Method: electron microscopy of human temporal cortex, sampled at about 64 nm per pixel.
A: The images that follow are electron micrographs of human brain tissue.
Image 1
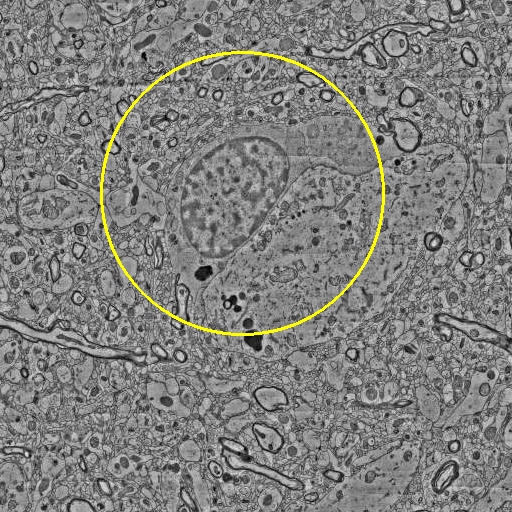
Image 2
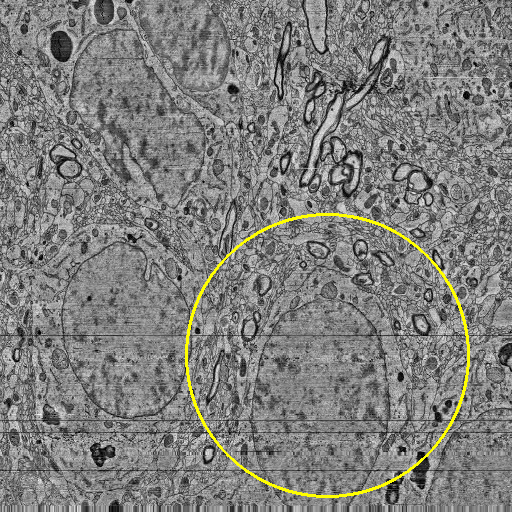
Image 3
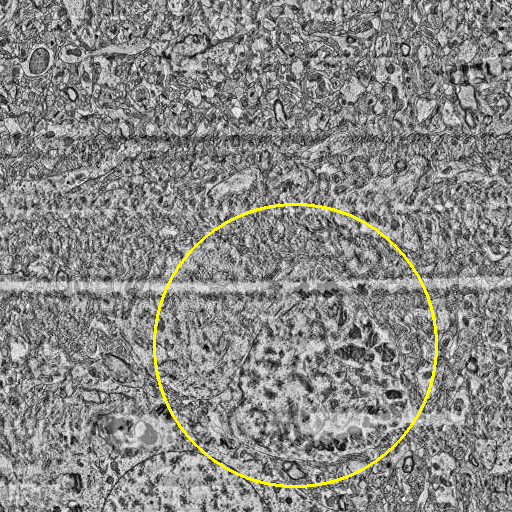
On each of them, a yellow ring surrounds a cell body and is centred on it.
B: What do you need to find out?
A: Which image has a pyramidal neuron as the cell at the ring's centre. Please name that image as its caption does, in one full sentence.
Image 2 is the one whose ring has the sought cell at its centre.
